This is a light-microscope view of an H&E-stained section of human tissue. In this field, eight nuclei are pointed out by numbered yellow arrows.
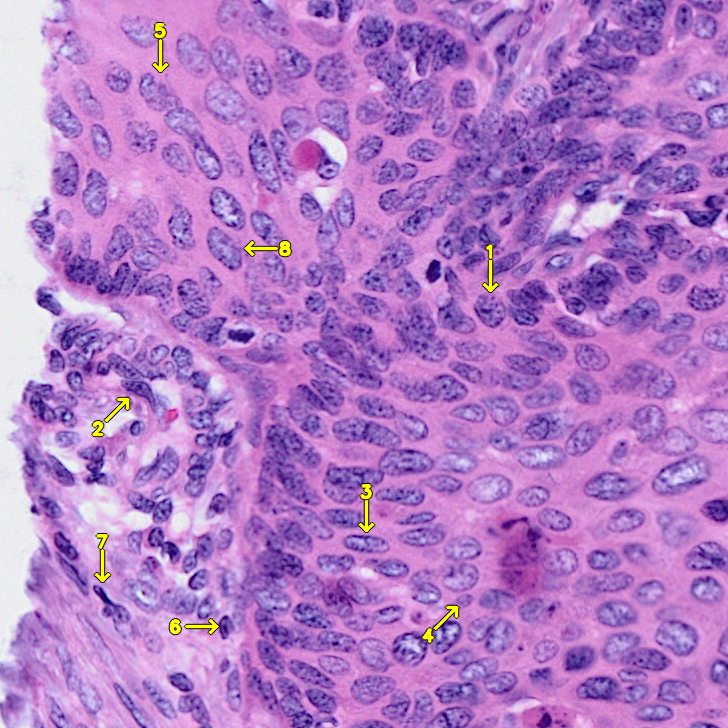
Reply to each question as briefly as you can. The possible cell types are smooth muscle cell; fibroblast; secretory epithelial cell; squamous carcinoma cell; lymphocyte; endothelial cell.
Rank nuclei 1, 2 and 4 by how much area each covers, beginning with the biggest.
1, 2, 4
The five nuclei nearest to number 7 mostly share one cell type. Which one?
fibroblast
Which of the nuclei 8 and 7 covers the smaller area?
7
